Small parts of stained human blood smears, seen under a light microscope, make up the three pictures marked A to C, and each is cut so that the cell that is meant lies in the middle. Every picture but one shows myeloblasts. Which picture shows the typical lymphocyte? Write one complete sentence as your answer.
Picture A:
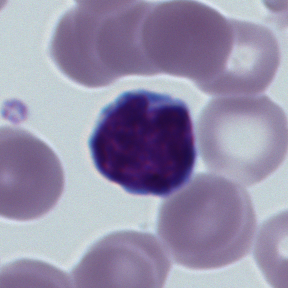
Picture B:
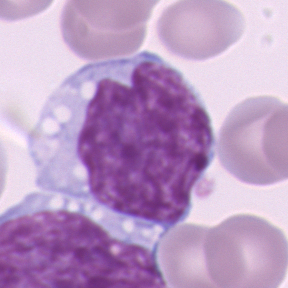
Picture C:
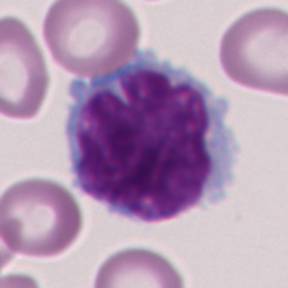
It is picture A that shows the typical lymphocyte.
